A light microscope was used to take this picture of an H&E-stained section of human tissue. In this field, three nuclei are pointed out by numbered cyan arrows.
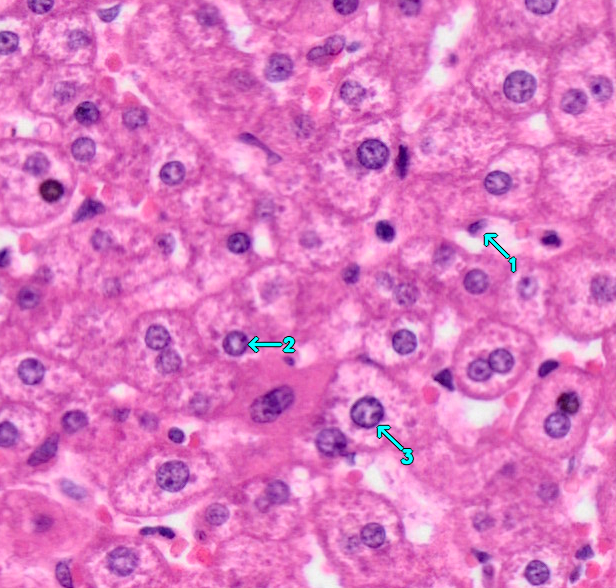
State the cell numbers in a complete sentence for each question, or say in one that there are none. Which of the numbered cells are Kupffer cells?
No marked cell except number 1 is a Kupffer cell.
